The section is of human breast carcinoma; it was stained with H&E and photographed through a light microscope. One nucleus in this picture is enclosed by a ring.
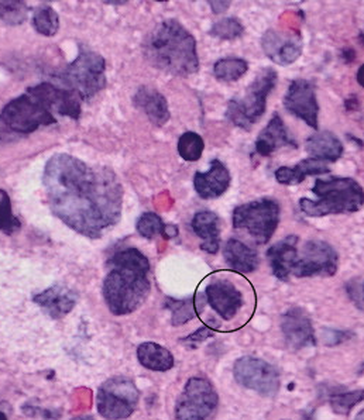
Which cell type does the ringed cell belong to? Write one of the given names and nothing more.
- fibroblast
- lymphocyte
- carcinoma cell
carcinoma cell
